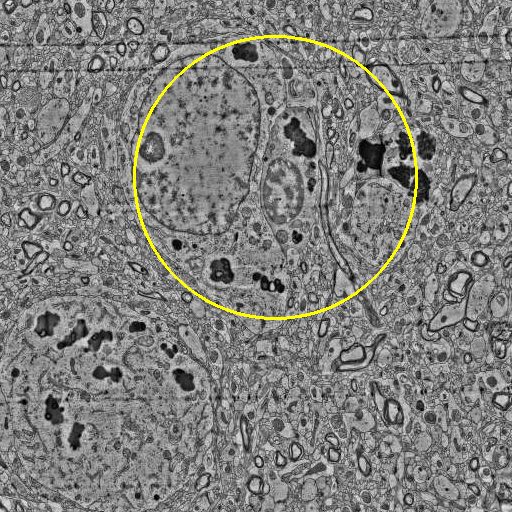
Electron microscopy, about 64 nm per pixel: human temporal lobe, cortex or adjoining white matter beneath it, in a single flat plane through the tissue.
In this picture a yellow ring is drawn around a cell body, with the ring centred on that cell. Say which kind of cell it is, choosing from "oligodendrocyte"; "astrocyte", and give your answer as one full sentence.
Here it is an oligodendrocyte that sits at the centre of the drawn yellow ring.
